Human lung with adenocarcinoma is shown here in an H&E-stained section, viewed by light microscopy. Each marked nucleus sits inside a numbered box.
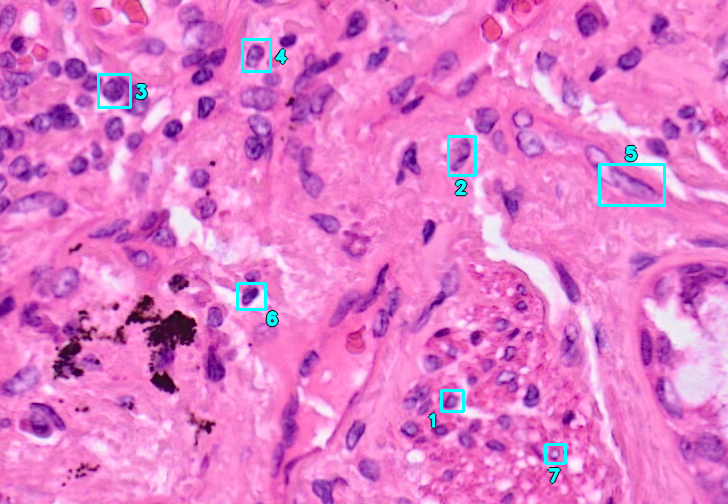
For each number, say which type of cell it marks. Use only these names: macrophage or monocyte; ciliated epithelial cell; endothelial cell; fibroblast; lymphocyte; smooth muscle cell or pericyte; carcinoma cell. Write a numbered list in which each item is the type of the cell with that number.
1. smooth muscle cell or pericyte
2. fibroblast
3. lymphocyte
4. lymphocyte
5. endothelial cell
6. lymphocyte
7. smooth muscle cell or pericyte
